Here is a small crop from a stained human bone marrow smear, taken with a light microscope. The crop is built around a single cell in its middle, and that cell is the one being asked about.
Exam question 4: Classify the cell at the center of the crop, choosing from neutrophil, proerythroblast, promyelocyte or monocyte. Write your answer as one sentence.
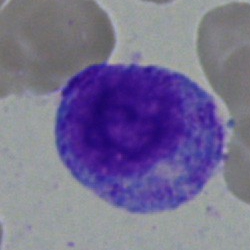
Looking at the middle of the crop, the cell there is a promyelocyte.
